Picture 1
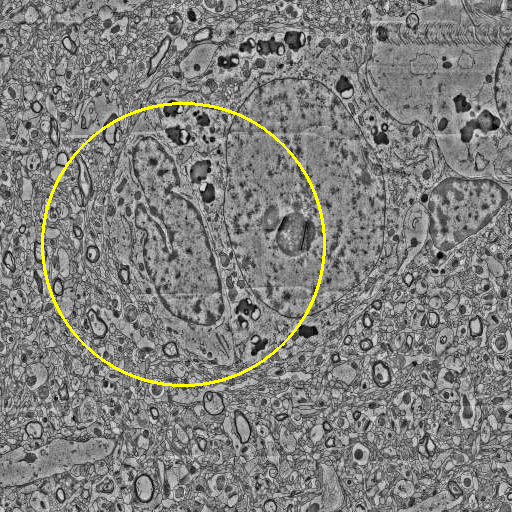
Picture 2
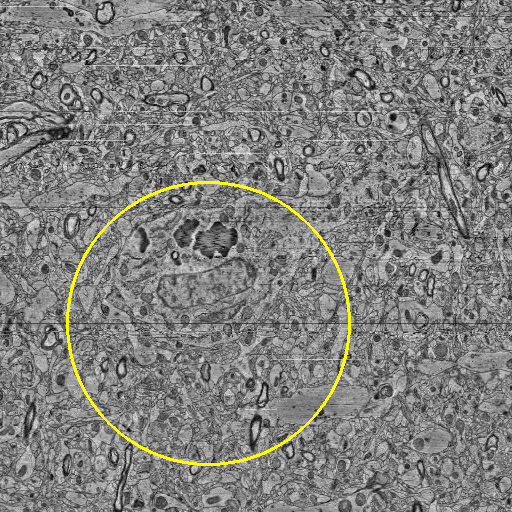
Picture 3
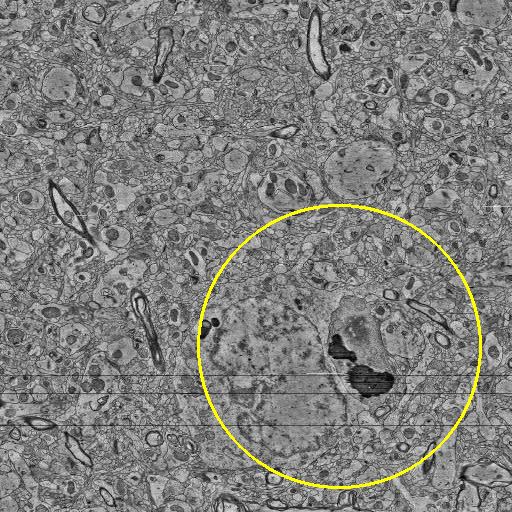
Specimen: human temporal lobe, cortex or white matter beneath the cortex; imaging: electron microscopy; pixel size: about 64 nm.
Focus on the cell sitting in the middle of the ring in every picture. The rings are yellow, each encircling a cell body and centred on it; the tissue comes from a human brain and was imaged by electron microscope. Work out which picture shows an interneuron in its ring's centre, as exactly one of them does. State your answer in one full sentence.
In picture 2, the ring is centred on the cell in question.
